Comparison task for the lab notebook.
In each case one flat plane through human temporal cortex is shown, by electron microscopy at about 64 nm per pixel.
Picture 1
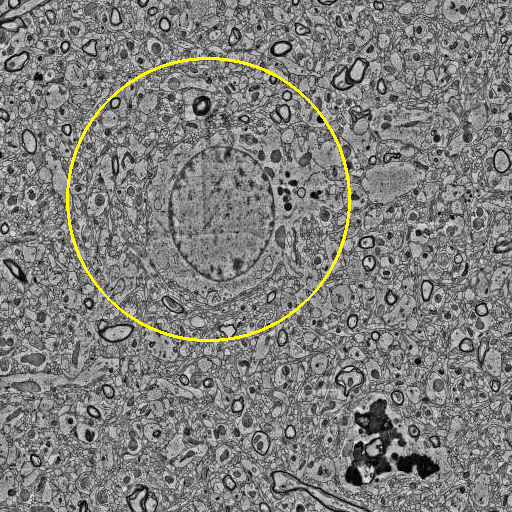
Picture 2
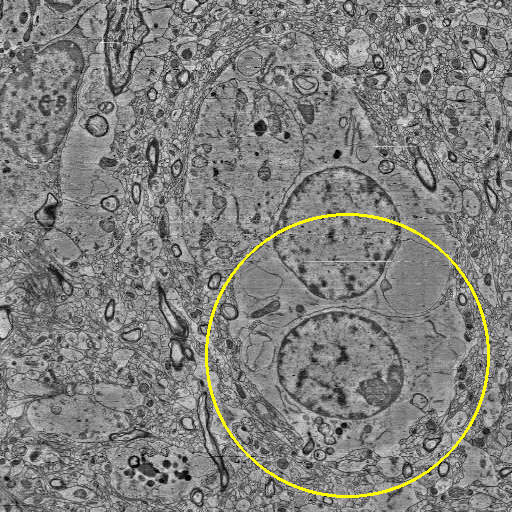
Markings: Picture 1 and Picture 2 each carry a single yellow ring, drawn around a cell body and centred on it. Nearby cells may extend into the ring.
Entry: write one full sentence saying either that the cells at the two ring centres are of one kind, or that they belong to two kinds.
The cells sitting at the ring centres in Picture 1 and Picture 2 are of one kind.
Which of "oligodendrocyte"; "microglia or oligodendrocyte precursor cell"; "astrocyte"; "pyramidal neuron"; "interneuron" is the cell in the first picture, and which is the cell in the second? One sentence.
The second cell is an astrocyte, just as the first is.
